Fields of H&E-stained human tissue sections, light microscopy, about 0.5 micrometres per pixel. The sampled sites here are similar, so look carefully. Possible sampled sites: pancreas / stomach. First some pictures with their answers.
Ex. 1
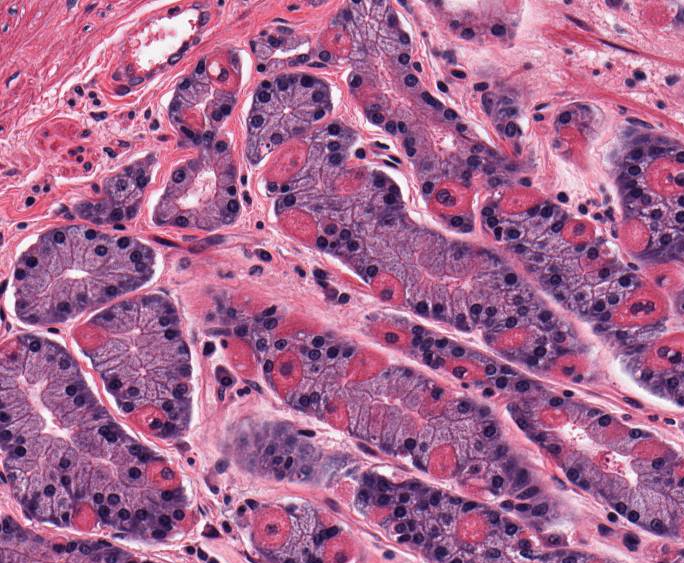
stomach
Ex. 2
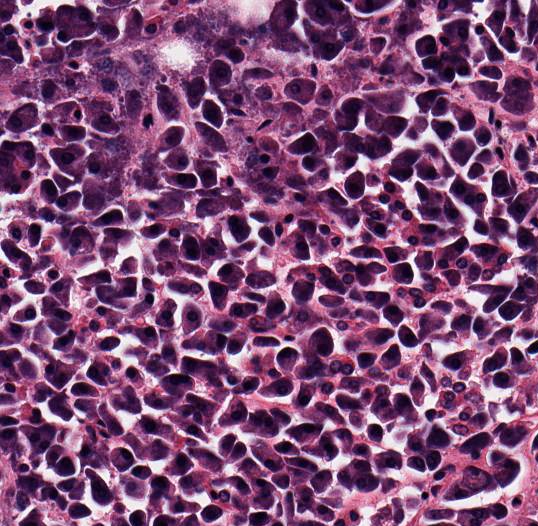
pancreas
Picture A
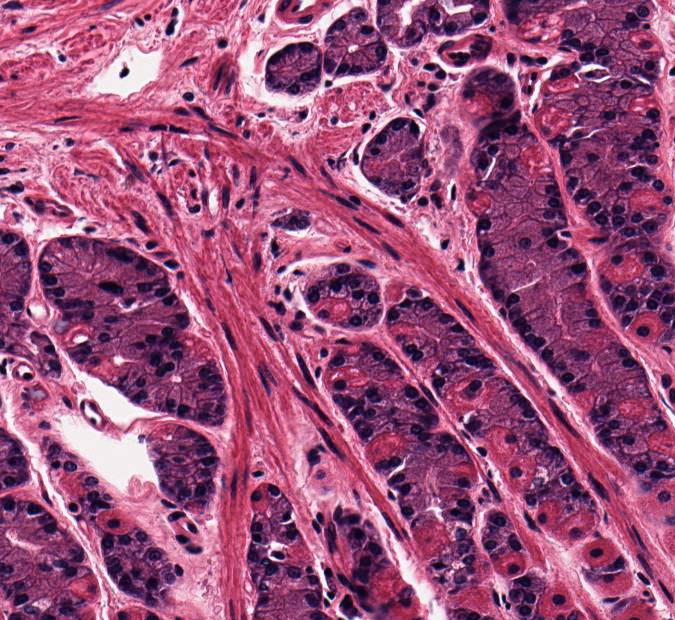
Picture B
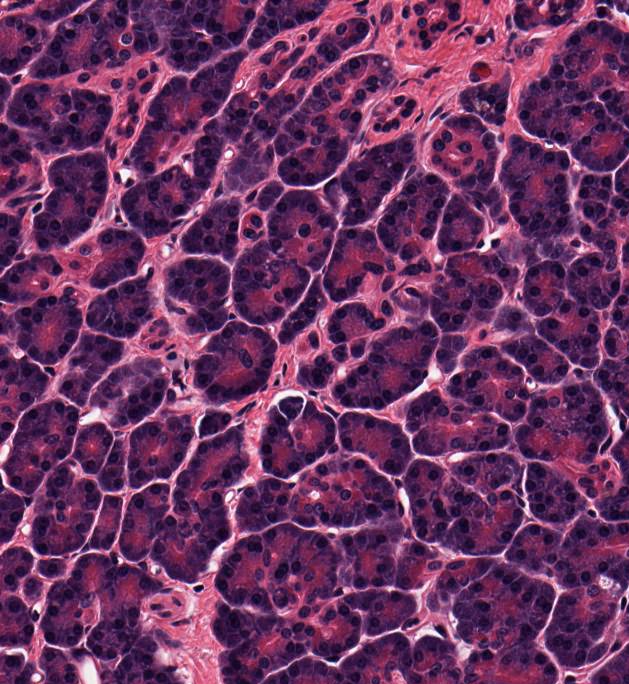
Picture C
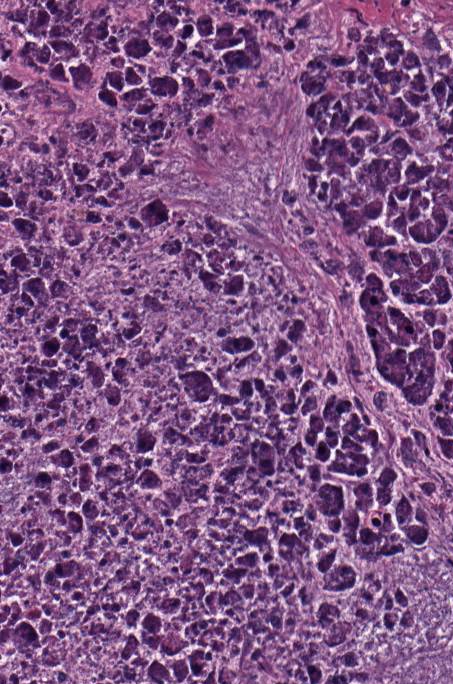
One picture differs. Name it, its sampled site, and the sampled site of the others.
Different: A, stomach. Others: pancreas.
